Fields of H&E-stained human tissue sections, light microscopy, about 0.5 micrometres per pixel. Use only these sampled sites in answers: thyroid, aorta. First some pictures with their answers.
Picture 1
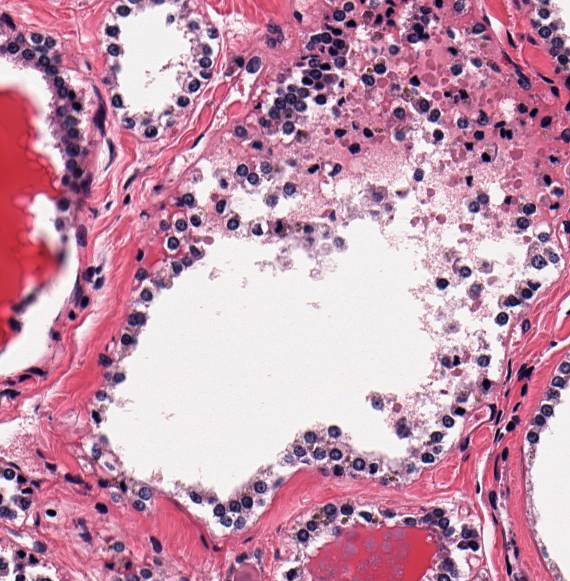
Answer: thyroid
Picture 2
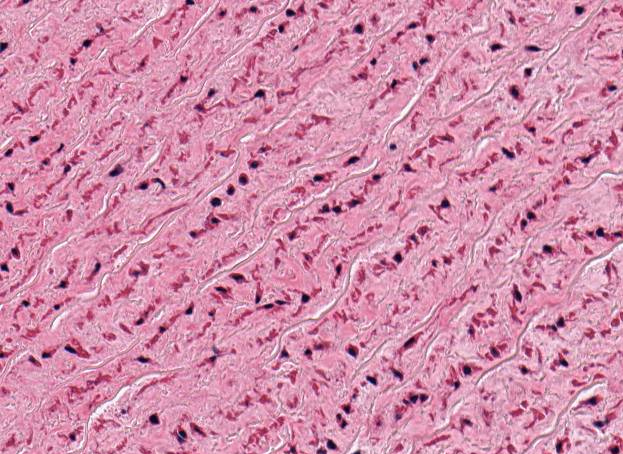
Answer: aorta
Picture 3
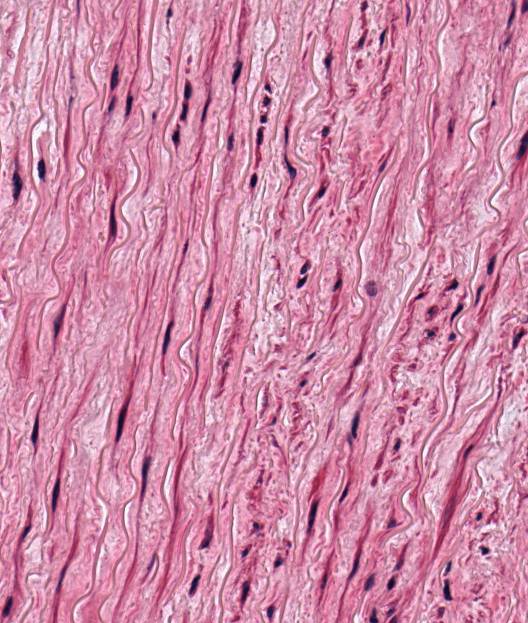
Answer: aorta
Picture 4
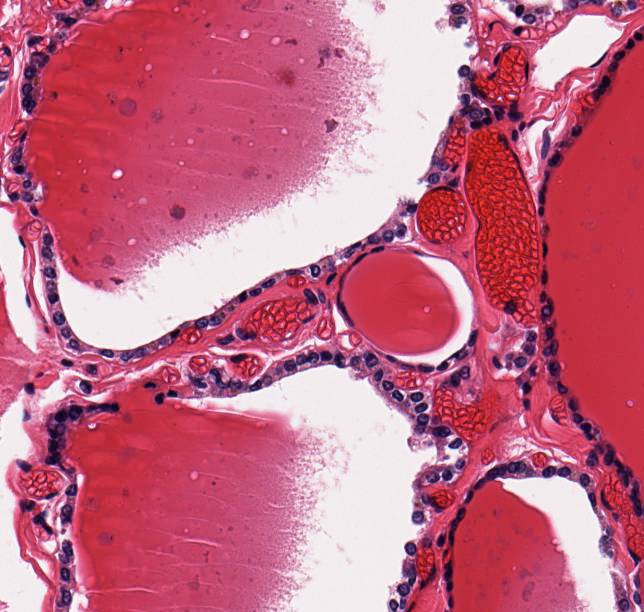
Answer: thyroid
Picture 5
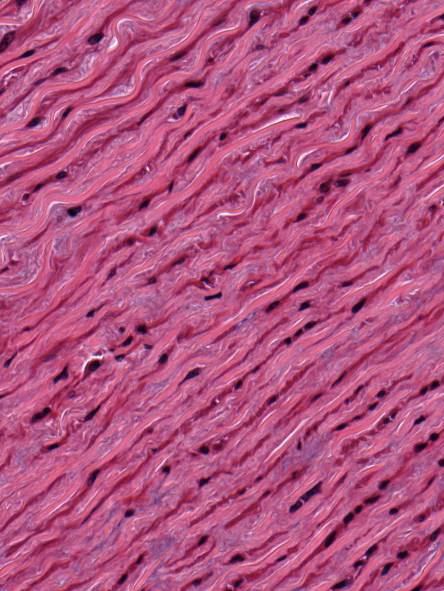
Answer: aorta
